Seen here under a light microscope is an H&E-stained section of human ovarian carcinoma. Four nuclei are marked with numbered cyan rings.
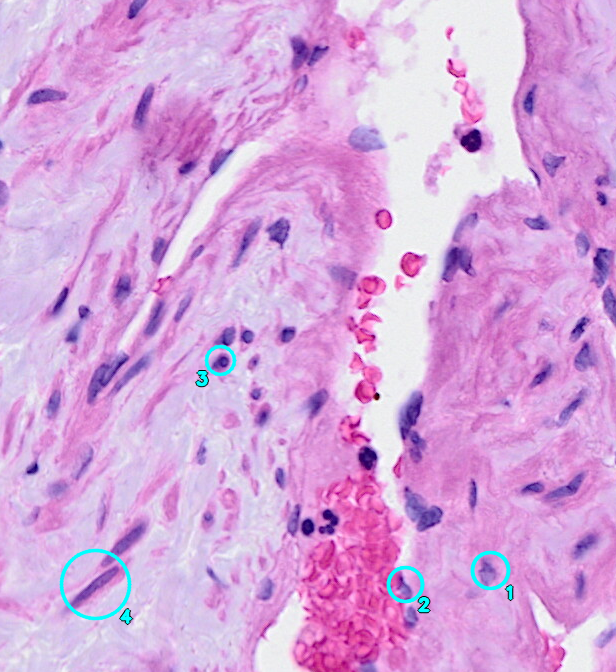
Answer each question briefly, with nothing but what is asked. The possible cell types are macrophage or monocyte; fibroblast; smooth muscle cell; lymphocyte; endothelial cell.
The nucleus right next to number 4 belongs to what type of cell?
smooth muscle cell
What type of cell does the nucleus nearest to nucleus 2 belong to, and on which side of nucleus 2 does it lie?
an endothelial cell below nucleus 2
